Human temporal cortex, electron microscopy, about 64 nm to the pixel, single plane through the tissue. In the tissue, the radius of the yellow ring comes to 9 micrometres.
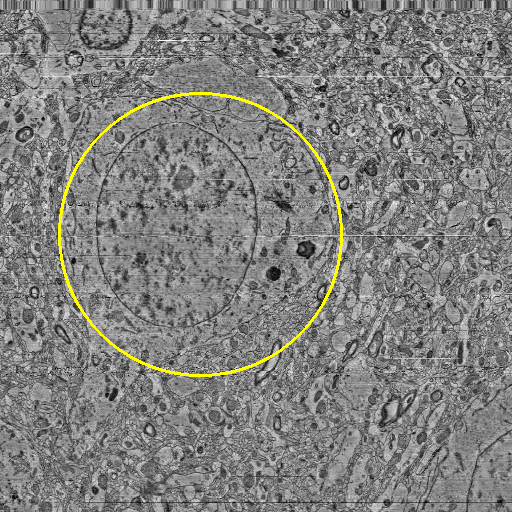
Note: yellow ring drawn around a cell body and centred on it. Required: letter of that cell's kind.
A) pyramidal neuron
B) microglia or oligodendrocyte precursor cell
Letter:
A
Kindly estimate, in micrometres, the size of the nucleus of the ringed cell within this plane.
Roughly 13 micrometres by 11 micrometres, in this plane.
